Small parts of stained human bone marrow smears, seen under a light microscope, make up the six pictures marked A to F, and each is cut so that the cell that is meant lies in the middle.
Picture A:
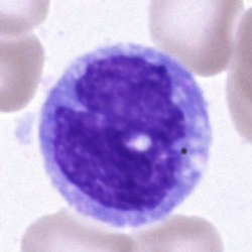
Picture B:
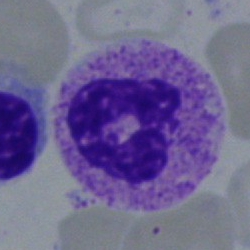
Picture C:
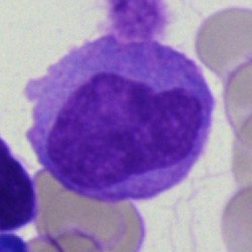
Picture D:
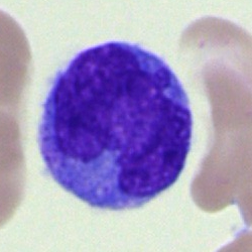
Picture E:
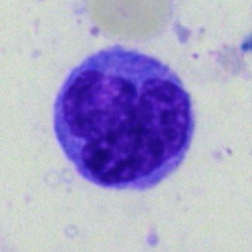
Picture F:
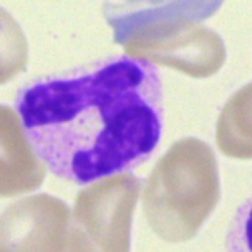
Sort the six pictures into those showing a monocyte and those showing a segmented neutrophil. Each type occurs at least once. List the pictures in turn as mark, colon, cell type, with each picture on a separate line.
A: monocyte
B: segmented neutrophil
C: monocyte
D: monocyte
E: monocyte
F: segmented neutrophil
